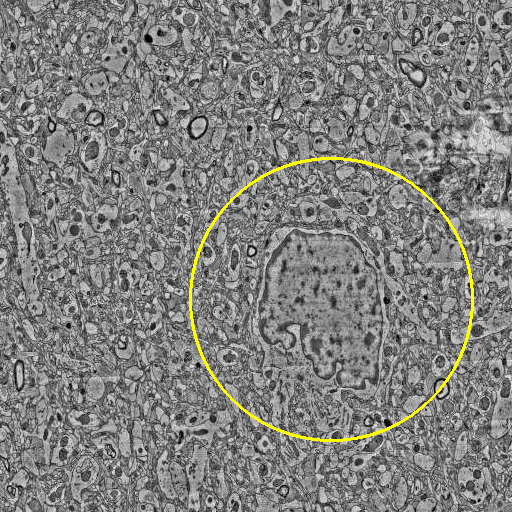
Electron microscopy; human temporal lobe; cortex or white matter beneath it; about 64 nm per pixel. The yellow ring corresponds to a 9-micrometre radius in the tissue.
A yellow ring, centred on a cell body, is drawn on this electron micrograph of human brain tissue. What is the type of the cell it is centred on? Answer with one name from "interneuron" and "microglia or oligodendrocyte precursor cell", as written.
microglia or oligodendrocyte precursor cell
